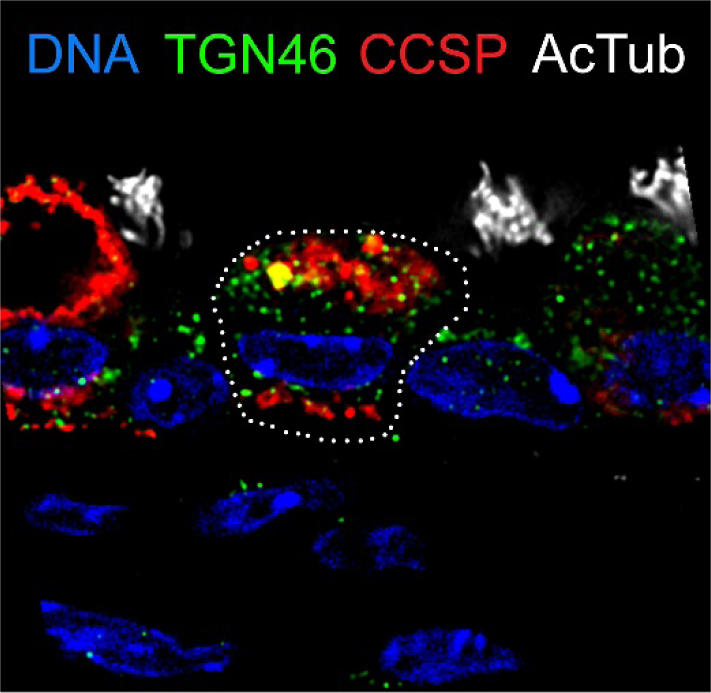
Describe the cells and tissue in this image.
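Airway epithelium of low columnar cells resting above a few flattened nuclei of the underlying tissue. A dotted line outlines a secretory cell with red-stained apical cytoplasm and green puncta above its oval blue nucleus, while neighbouring ciliated cells bear white tufts of cilia at the luminal surface.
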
